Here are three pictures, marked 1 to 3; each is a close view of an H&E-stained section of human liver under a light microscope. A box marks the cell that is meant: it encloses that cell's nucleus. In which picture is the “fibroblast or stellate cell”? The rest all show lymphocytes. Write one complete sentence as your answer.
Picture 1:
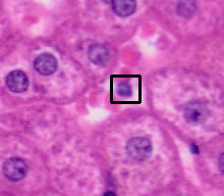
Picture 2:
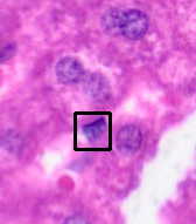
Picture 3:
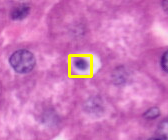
The “fibroblast or stellate cell” is the one in picture 2.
